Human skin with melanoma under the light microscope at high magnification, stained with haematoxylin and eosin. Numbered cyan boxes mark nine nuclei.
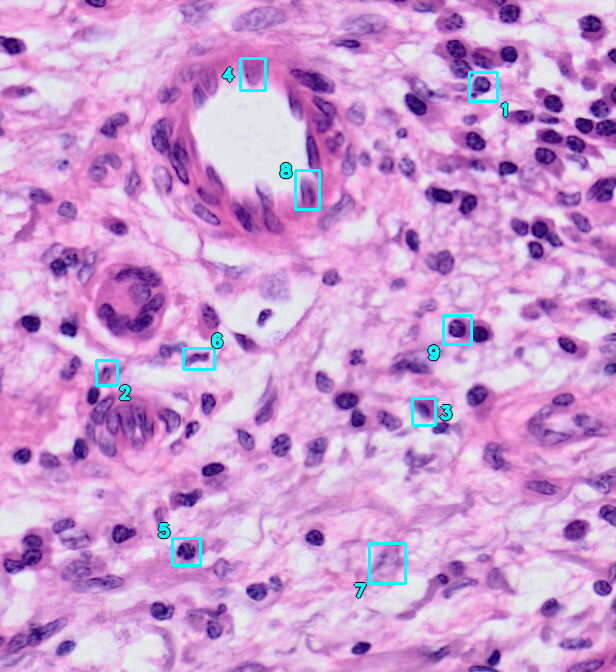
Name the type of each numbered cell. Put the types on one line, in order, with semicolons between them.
lymphocyte; macrophage or monocyte; plasma cell; endothelial cell; plasma cell; fibroblast or myofibroblast; fibroblast or myofibroblast; endothelial cell; plasma cell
